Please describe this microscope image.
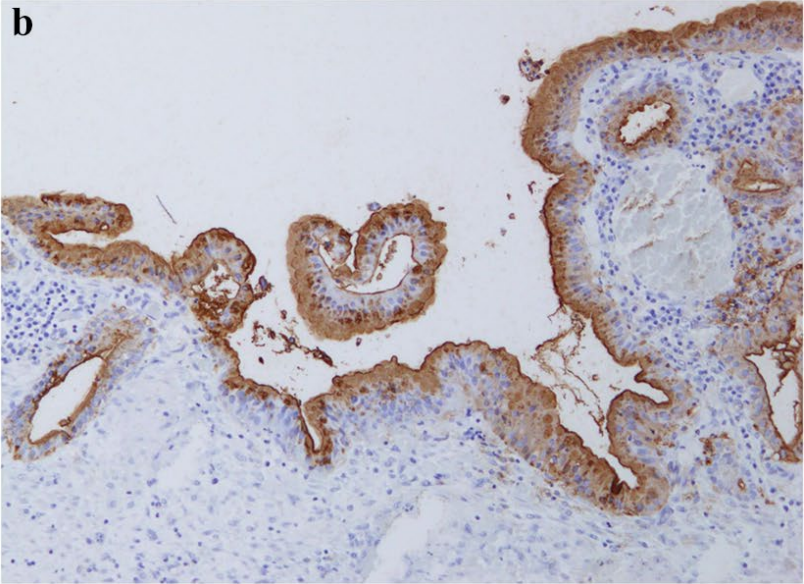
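Folded mucosa whose lining of columnar epithelial cells is stained brown, most strongly at the luminal surface, while the underlying stroma with its scattered blue nuclei stays unstained. Small gland-like spaces in the stroma are lined by the same brown-stained epithelium.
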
